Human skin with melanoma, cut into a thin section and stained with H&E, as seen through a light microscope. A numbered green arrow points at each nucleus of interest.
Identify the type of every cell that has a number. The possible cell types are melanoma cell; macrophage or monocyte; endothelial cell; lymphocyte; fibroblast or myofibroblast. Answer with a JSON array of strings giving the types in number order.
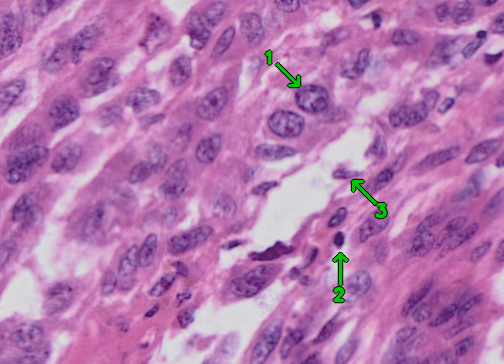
["melanoma cell", "lymphocyte", "melanoma cell"]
